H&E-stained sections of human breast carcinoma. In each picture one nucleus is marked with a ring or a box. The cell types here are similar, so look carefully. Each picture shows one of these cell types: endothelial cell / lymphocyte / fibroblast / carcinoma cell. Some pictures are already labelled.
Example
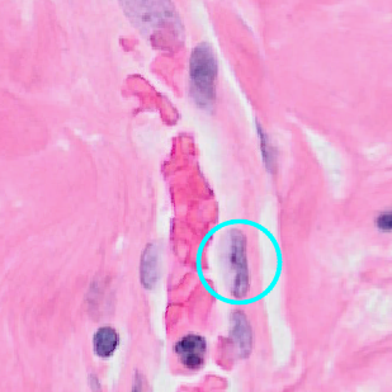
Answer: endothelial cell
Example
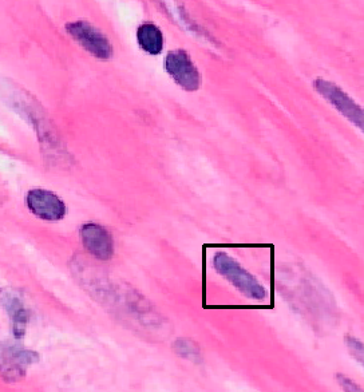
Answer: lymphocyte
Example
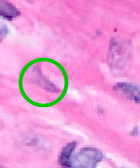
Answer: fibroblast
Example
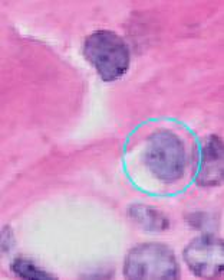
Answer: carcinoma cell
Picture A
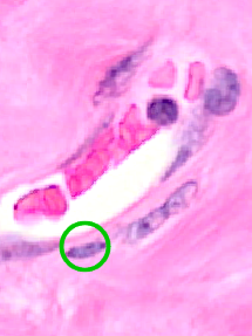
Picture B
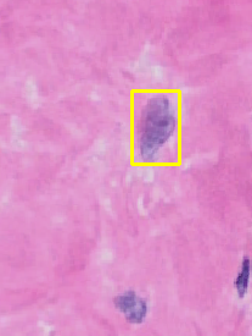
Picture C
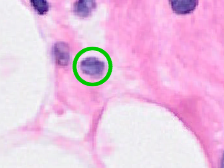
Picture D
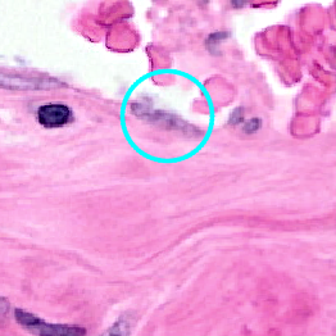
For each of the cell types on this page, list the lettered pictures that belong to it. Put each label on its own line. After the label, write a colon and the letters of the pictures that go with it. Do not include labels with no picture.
endothelial cell: A, D
lymphocyte: C
fibroblast: B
